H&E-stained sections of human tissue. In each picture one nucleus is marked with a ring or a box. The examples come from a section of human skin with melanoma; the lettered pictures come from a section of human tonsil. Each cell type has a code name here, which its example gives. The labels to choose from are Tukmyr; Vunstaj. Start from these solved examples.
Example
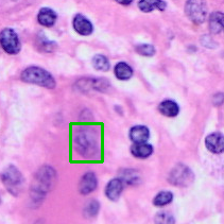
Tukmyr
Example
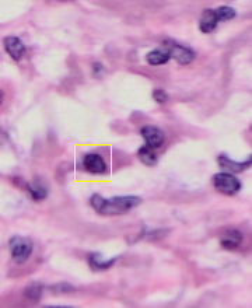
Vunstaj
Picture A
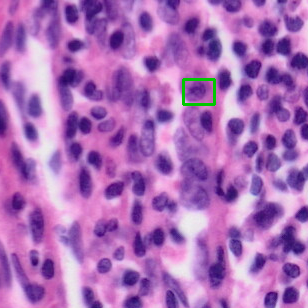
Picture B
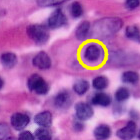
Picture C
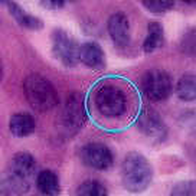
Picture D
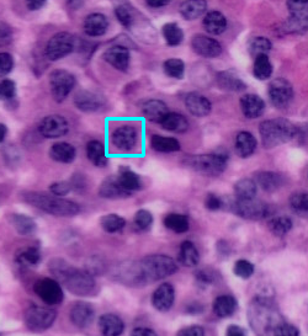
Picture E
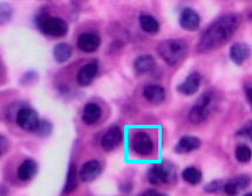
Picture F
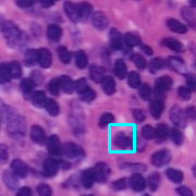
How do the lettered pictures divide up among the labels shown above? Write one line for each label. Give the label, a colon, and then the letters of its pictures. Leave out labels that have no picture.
Tukmyr: A, B, F
Vunstaj: C, D, E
